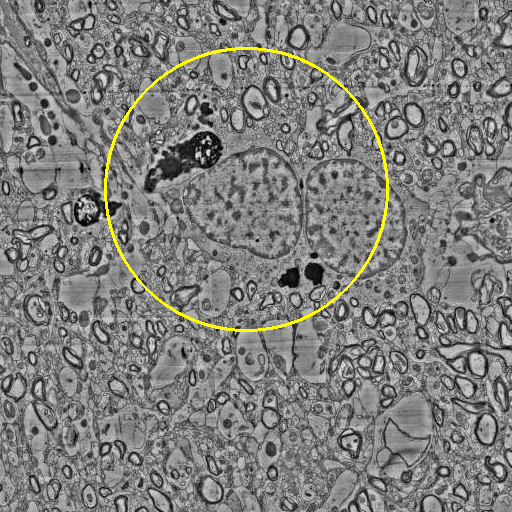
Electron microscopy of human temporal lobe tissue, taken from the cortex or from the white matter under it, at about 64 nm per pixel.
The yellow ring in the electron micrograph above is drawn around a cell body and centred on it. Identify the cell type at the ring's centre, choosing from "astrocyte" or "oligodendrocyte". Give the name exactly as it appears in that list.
oligodendrocyte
